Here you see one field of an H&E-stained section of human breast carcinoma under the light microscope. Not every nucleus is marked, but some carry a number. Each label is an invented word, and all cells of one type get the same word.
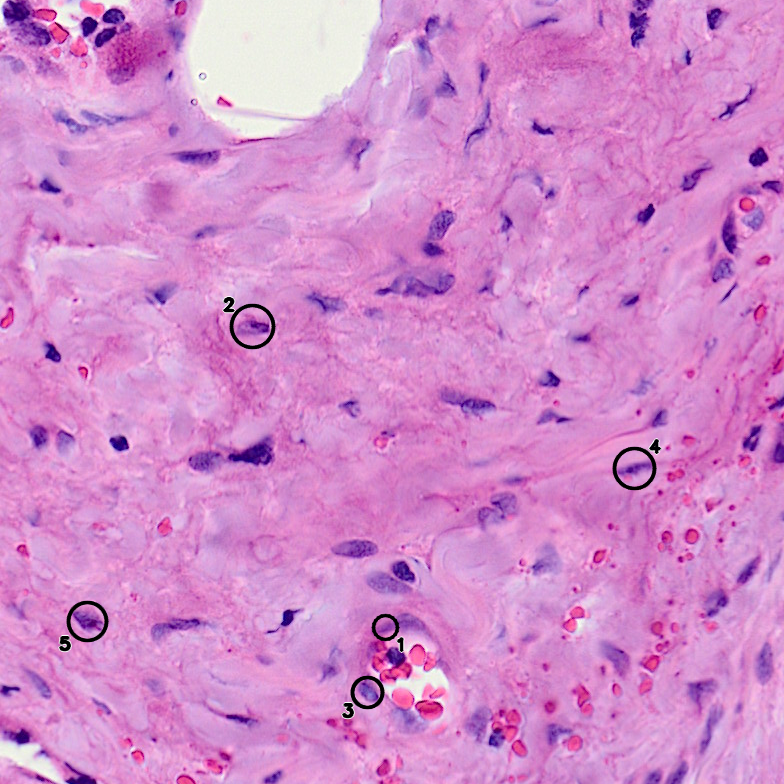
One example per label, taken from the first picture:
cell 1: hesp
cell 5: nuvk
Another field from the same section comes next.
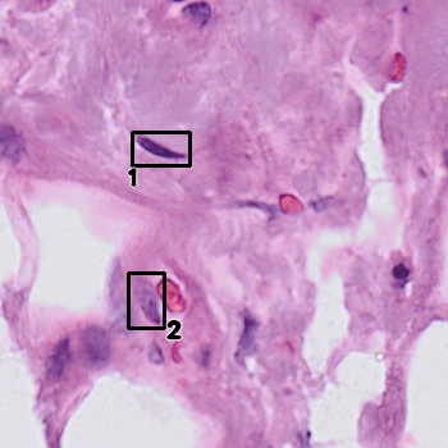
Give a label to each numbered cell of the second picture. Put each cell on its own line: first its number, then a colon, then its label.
1: nuvk
2: hesp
